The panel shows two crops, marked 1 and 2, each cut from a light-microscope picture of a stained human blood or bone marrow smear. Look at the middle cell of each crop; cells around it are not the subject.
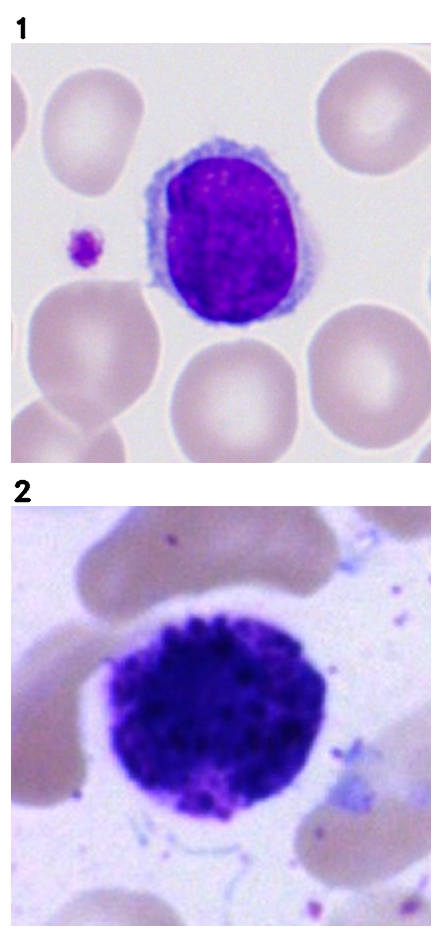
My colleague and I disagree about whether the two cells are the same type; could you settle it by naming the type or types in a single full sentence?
No, crop 1 carries a lymphocyte and crop 2 carries a basophil.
